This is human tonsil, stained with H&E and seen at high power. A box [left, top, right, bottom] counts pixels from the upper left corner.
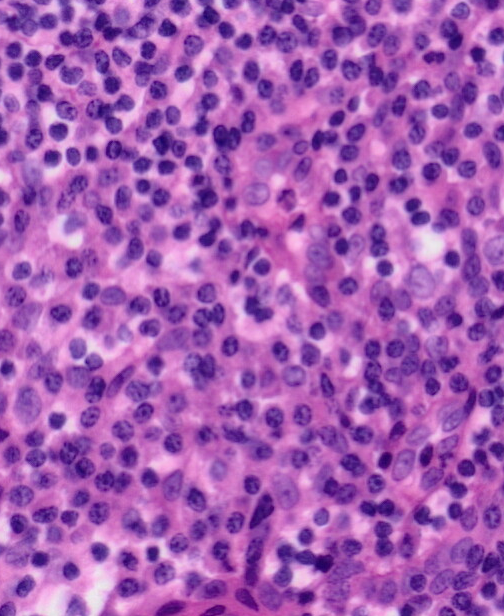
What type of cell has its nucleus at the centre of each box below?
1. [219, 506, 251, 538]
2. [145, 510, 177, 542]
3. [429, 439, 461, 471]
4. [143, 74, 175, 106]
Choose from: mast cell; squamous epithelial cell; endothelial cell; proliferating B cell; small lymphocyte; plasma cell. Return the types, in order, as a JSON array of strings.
["plasma cell", "plasma cell", "endothelial cell", "plasma cell"]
